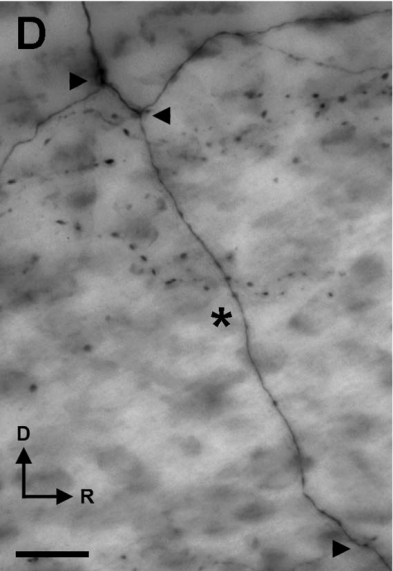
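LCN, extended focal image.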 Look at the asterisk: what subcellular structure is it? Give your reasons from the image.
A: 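The asterisk lies beside a long, thin, smooth fibre running diagonally across the field.
Main axon.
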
